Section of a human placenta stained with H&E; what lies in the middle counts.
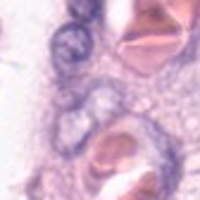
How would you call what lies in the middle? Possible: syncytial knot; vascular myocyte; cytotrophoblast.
I would call it a cytotrophoblast.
